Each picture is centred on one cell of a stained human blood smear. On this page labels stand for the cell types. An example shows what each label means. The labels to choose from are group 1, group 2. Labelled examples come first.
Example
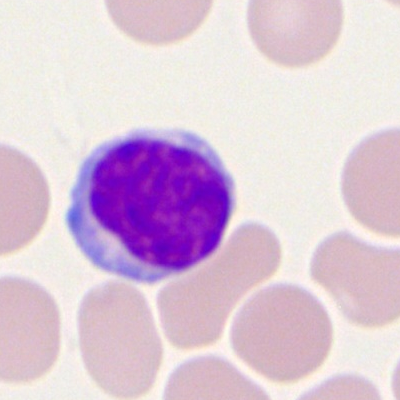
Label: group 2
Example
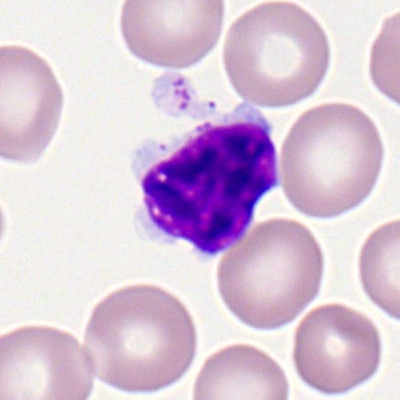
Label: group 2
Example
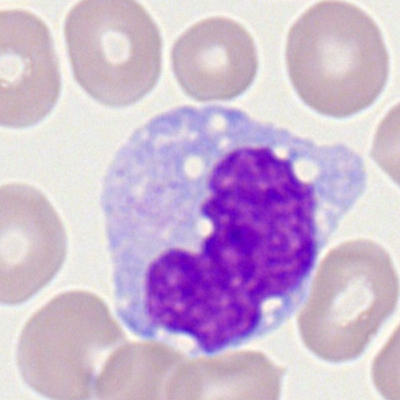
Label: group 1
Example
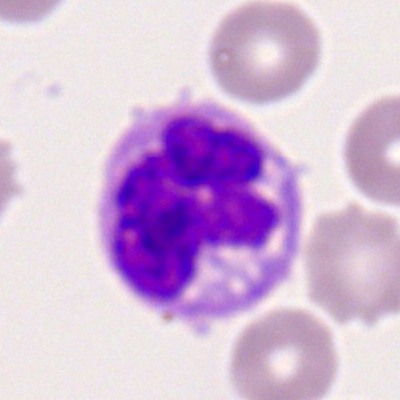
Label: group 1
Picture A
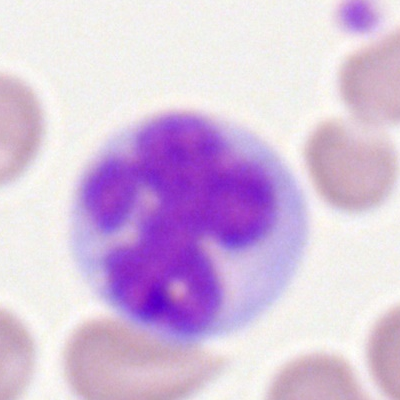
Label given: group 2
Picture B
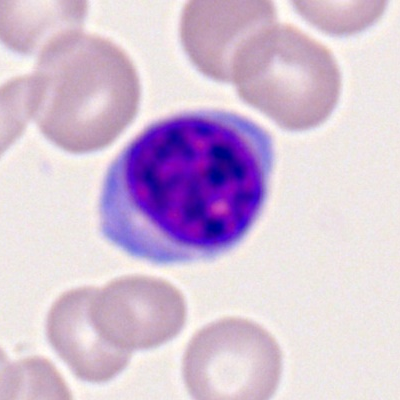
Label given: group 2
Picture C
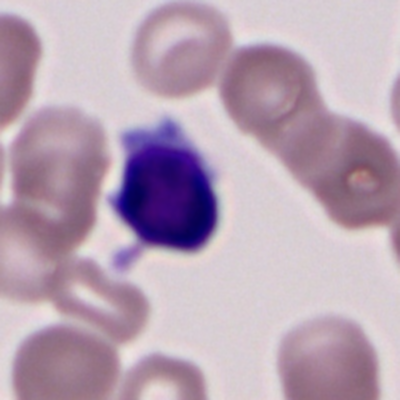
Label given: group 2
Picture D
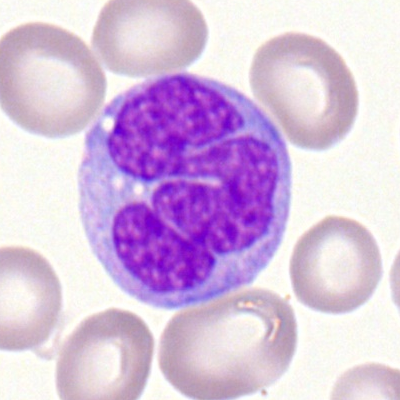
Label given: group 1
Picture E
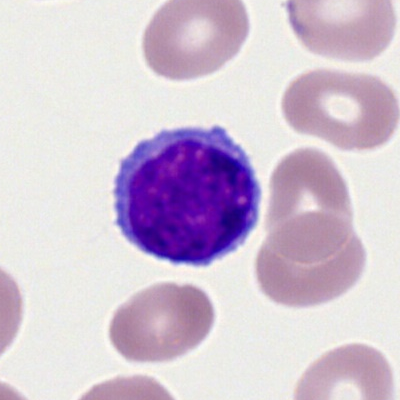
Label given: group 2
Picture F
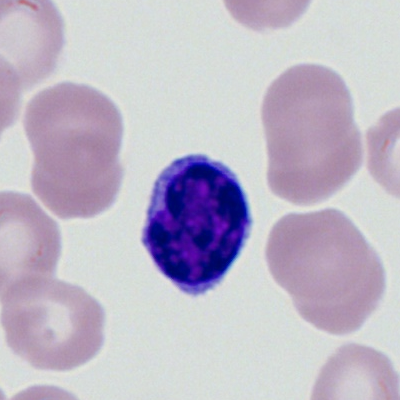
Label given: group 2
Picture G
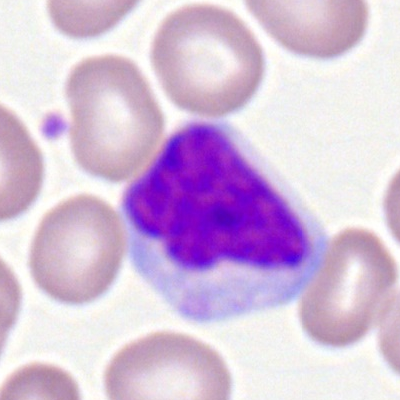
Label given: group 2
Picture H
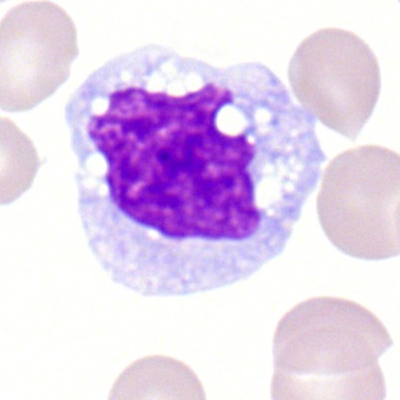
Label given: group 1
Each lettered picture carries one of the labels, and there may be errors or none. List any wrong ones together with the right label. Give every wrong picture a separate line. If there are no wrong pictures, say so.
A: group 1, not group 2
